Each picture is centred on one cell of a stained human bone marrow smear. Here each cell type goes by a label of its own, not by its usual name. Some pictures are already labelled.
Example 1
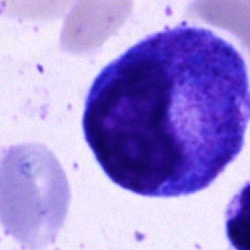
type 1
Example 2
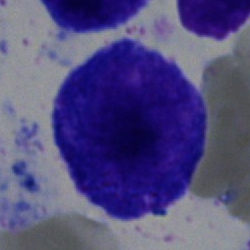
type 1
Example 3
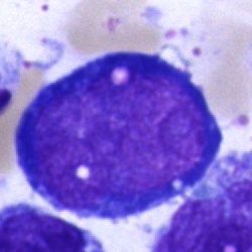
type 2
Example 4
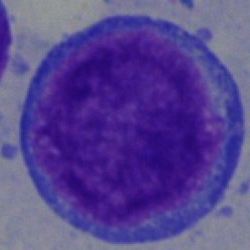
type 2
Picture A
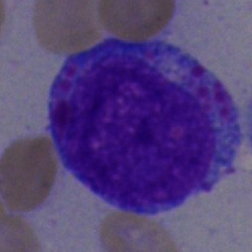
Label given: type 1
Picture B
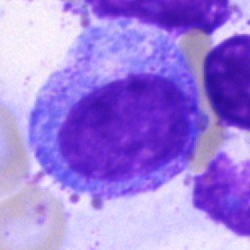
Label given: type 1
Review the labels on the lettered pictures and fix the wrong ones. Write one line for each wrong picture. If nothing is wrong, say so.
None of the labels needs changing.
